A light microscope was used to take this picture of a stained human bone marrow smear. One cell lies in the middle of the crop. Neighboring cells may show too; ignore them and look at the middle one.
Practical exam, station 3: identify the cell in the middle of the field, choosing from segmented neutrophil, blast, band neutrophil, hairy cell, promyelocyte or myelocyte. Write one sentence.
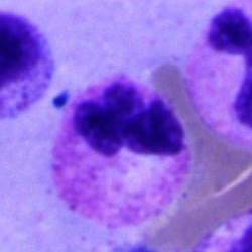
This crop is built around a segmented neutrophil at its centre.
